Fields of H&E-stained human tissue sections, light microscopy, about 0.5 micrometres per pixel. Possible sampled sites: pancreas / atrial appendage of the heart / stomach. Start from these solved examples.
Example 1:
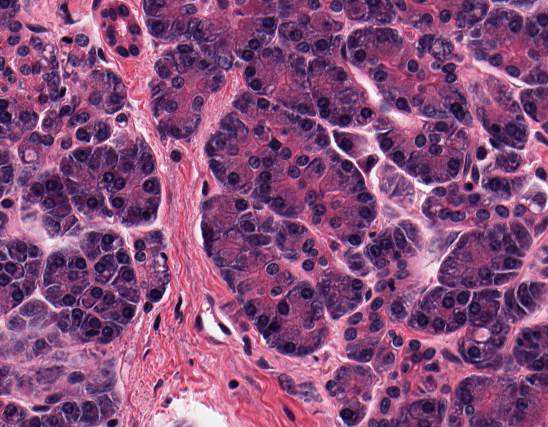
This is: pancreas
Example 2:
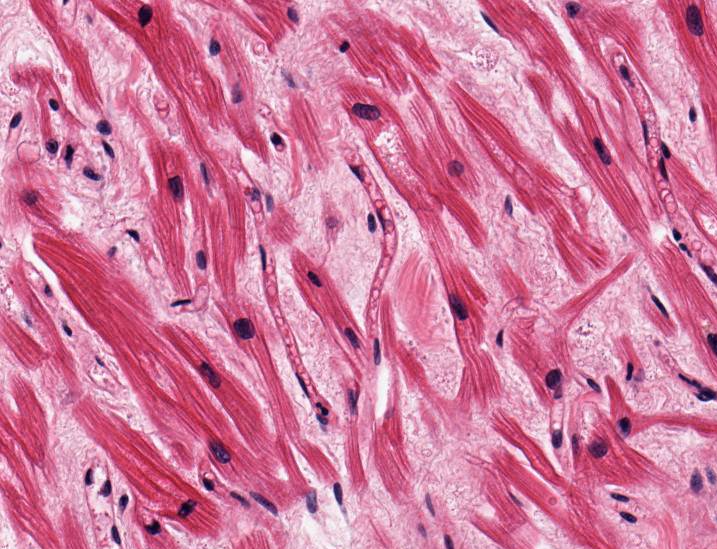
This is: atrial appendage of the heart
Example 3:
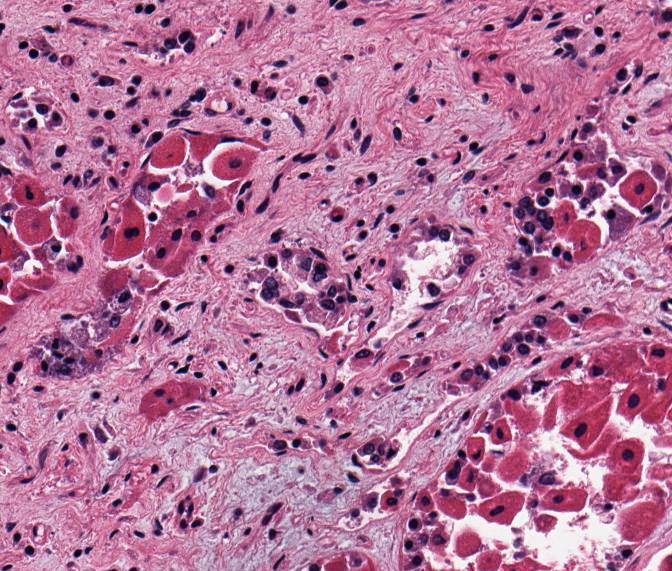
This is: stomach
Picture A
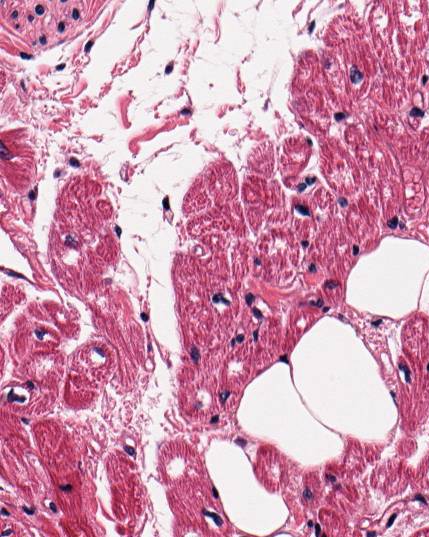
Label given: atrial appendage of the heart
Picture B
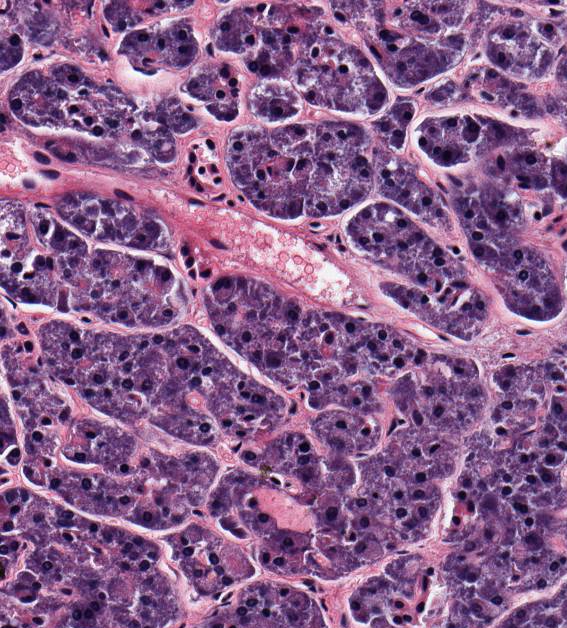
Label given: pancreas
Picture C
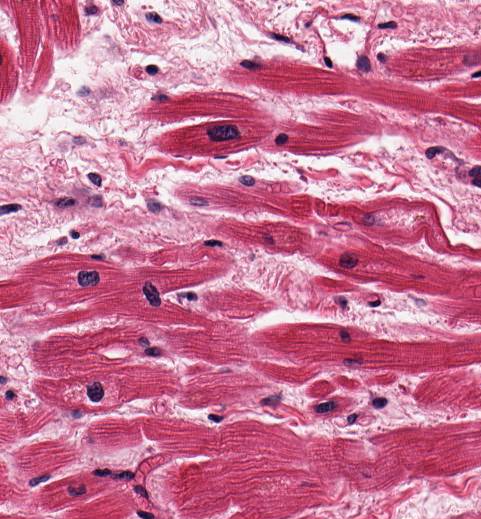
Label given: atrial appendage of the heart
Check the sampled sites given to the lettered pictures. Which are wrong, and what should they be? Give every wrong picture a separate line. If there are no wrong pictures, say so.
All labels are correct.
